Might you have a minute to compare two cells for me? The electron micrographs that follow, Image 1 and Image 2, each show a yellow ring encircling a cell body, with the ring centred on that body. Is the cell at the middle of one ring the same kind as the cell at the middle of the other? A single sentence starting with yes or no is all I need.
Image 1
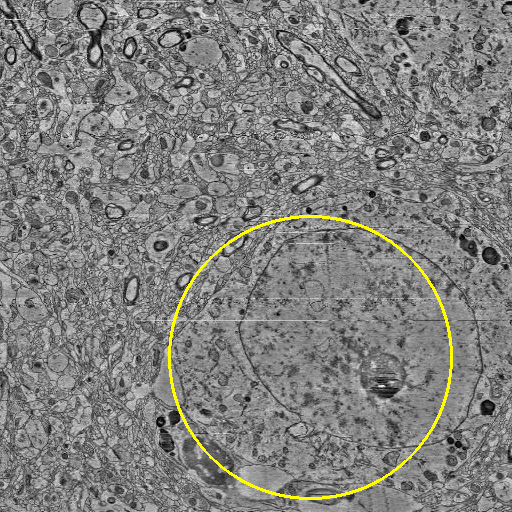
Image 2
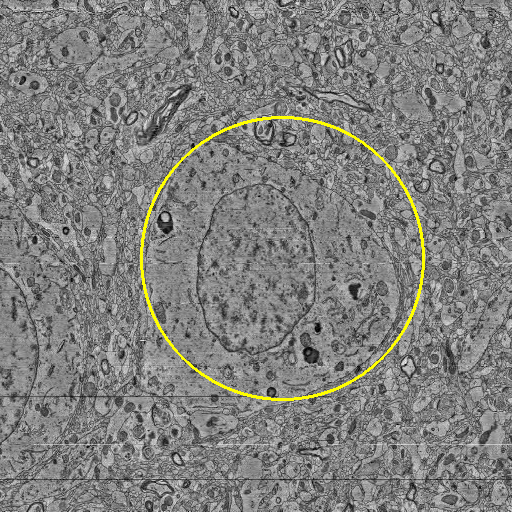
Yes, the cells in the middle of the two rings are of one shared kind.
